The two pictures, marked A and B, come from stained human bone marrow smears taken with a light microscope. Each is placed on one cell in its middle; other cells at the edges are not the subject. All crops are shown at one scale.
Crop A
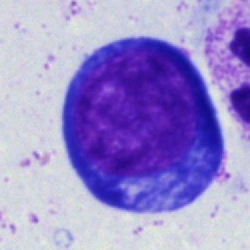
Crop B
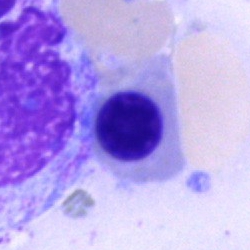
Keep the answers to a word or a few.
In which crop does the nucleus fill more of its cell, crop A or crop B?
A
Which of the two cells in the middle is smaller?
B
